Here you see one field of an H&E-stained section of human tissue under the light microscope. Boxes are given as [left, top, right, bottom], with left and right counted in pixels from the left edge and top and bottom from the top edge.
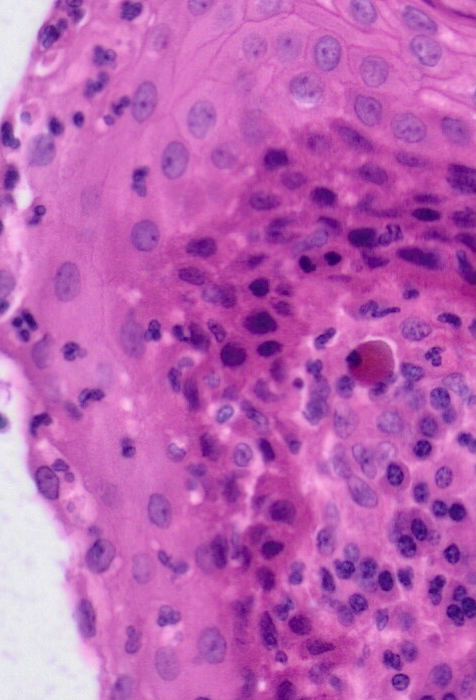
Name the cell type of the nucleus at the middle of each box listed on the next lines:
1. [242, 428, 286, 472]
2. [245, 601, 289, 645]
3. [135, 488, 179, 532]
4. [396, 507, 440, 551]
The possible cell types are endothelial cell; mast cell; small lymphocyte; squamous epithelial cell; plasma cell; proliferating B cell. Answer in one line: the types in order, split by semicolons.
squamous epithelial cell; squamous epithelial cell; squamous epithelial cell; plasma cell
